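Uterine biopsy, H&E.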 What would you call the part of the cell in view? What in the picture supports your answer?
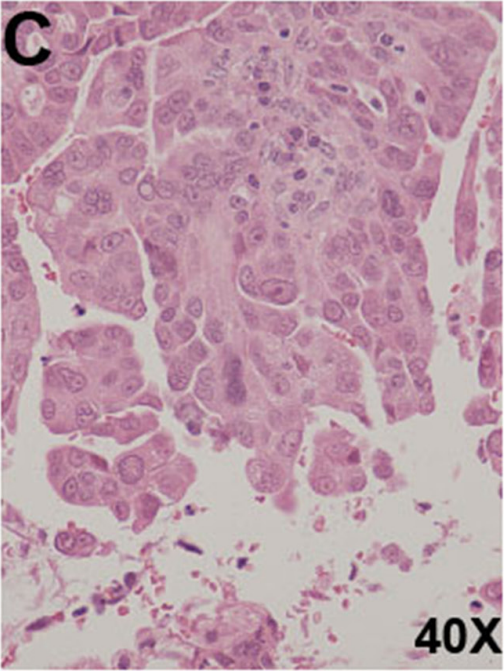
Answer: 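Many large round nuclei contain a distinct dark dot. Nuclei are vesicular with open chromatin around the dot.
Hence: prominent nucleoli.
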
